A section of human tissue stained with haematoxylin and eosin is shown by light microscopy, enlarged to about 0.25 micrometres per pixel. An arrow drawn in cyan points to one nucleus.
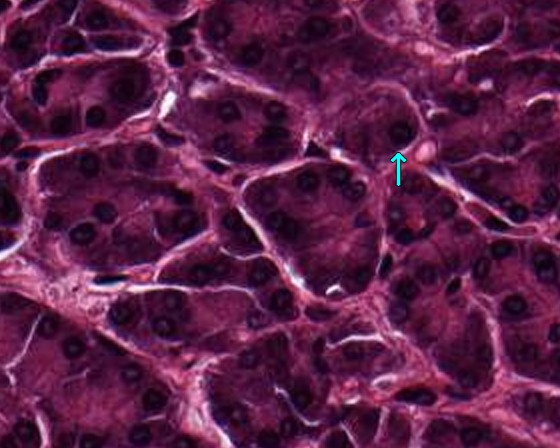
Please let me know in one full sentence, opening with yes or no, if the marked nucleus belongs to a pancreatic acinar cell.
Yes, to a pancreatic acinar cell belongs the marked nucleus.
